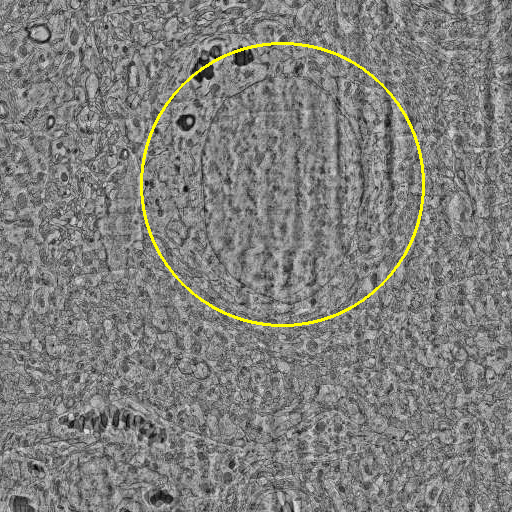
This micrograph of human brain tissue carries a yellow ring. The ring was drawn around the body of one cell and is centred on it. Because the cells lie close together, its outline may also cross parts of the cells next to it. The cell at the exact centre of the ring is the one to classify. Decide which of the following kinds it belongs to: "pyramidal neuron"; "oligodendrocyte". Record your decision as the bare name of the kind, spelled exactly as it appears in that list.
pyramidal neuron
